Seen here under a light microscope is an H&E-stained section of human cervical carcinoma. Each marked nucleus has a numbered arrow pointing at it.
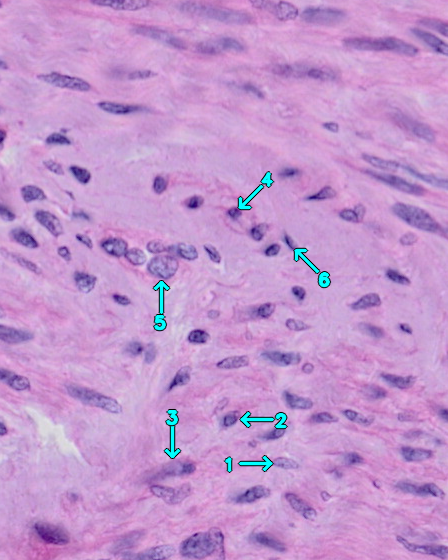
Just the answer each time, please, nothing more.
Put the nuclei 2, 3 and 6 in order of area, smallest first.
6, 2, 3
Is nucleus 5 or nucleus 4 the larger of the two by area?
5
